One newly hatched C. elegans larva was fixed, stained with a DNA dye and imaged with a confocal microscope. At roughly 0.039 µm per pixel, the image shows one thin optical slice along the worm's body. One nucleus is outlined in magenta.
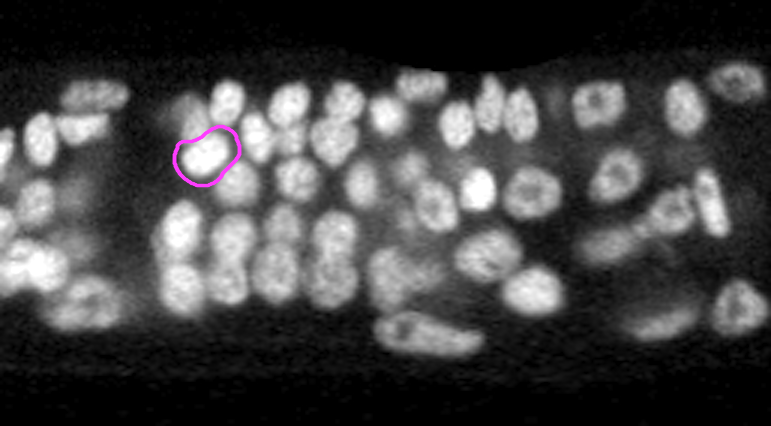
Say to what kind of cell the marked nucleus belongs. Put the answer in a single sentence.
The marked cell is a GLR cell.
